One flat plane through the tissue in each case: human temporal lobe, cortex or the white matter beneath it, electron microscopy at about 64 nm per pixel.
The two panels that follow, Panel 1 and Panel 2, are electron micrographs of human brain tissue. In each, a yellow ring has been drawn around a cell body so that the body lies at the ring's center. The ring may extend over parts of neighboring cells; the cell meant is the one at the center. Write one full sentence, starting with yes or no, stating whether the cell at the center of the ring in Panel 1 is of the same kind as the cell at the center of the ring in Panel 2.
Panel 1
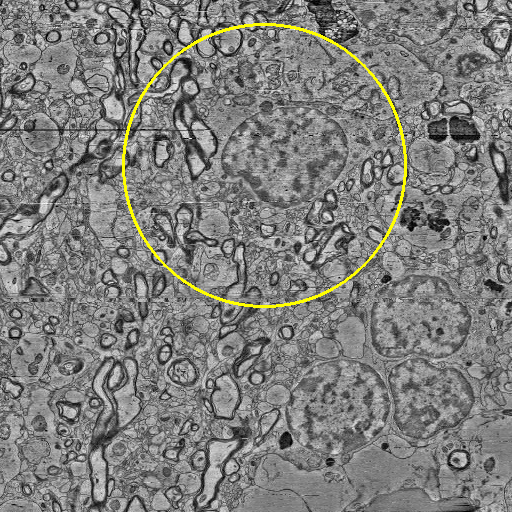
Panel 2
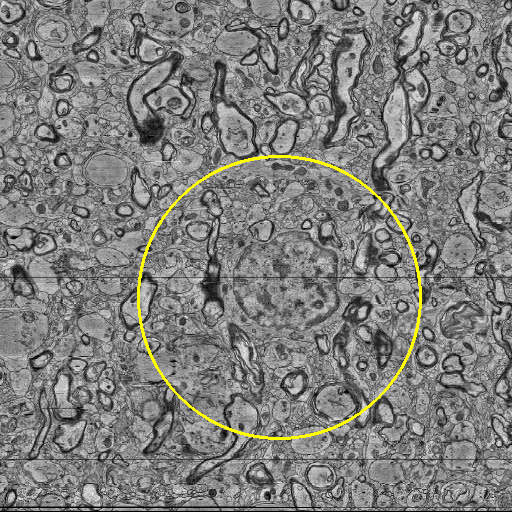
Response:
Yes, the cells in both panels are of the same kind.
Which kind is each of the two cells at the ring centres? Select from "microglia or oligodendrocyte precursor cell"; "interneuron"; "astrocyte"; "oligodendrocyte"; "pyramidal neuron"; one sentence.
Each of the two pictures has an oligodendrocyte at the ring centre.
